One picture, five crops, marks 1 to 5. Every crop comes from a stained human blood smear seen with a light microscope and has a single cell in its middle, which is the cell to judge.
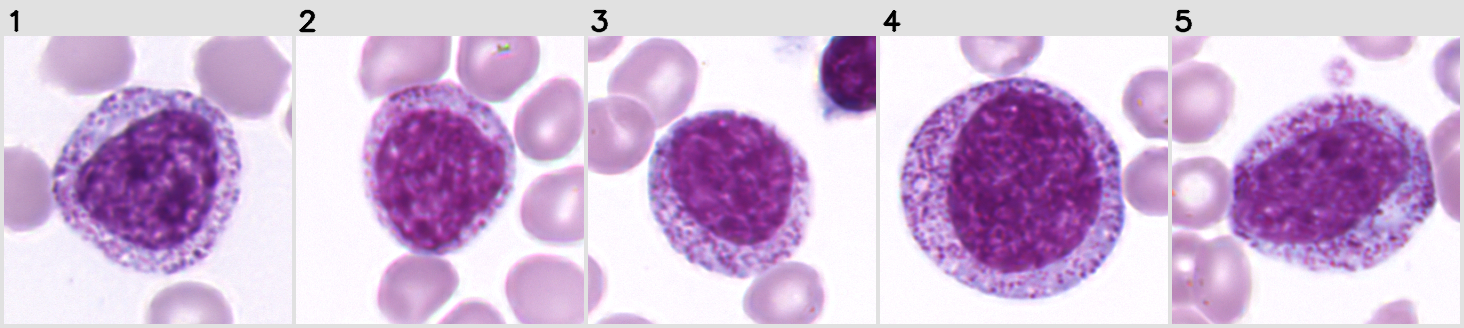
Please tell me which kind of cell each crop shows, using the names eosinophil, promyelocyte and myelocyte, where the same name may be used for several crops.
1: myelocyte
2: myelocyte
3: myelocyte
4: myelocyte
5: promyelocyte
